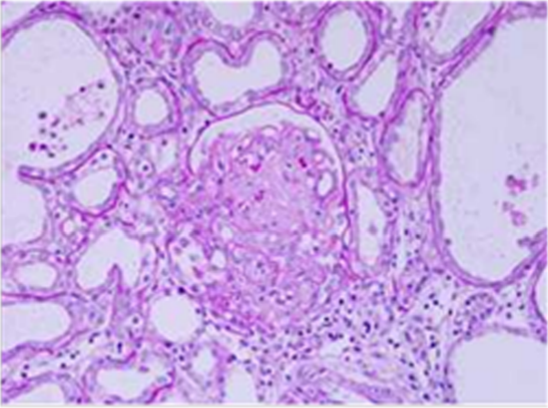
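This is damaged kidney cortex: a glomerulus lies at the centre amid tubules that have become widely dilated. The glomerular tuft stains pink-magenta and sits within its capsule. Many tubules have large, empty lumens lined by thin, flattened epithelium with sparse nuclei, and their basement membranes stand out as sharp magenta outlines. Some lumens hold loose pink debris and detached cells. Between the tubules the interstitium is widened and crowded with small dark nuclei. The orderly packing of plump tubular cells seen in healthy cortex is lost here.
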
